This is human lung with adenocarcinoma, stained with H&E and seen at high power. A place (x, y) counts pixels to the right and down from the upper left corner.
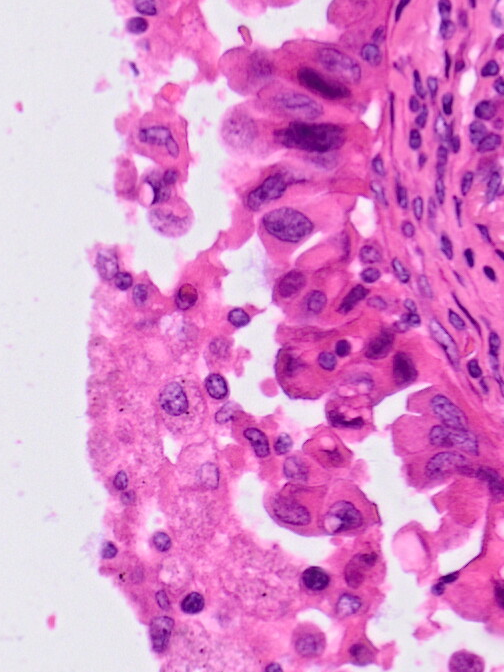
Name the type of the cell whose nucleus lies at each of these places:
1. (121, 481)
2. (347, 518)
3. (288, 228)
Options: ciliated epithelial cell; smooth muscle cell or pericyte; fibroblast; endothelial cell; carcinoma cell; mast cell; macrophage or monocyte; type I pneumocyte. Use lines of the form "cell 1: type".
cell 1: macrophage or monocyte
cell 2: carcinoma cell
cell 3: carcinoma cell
